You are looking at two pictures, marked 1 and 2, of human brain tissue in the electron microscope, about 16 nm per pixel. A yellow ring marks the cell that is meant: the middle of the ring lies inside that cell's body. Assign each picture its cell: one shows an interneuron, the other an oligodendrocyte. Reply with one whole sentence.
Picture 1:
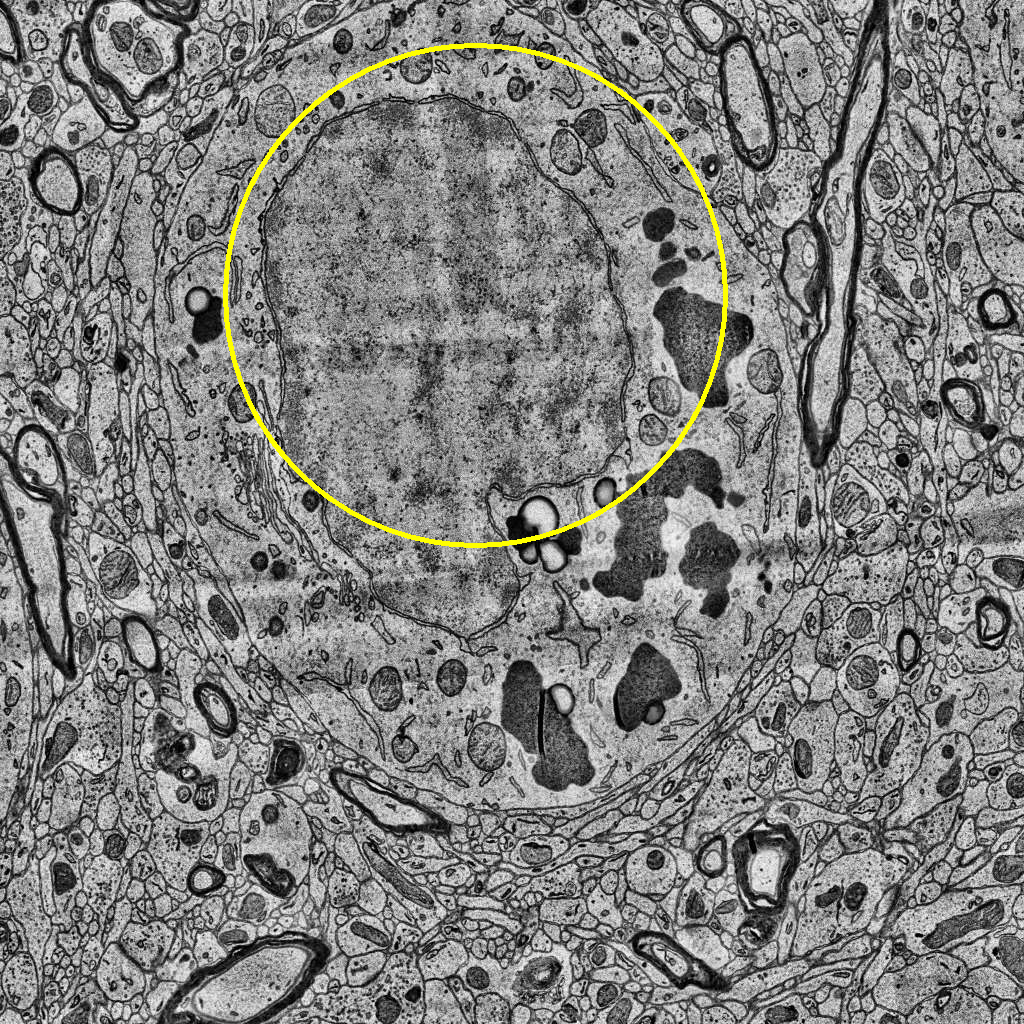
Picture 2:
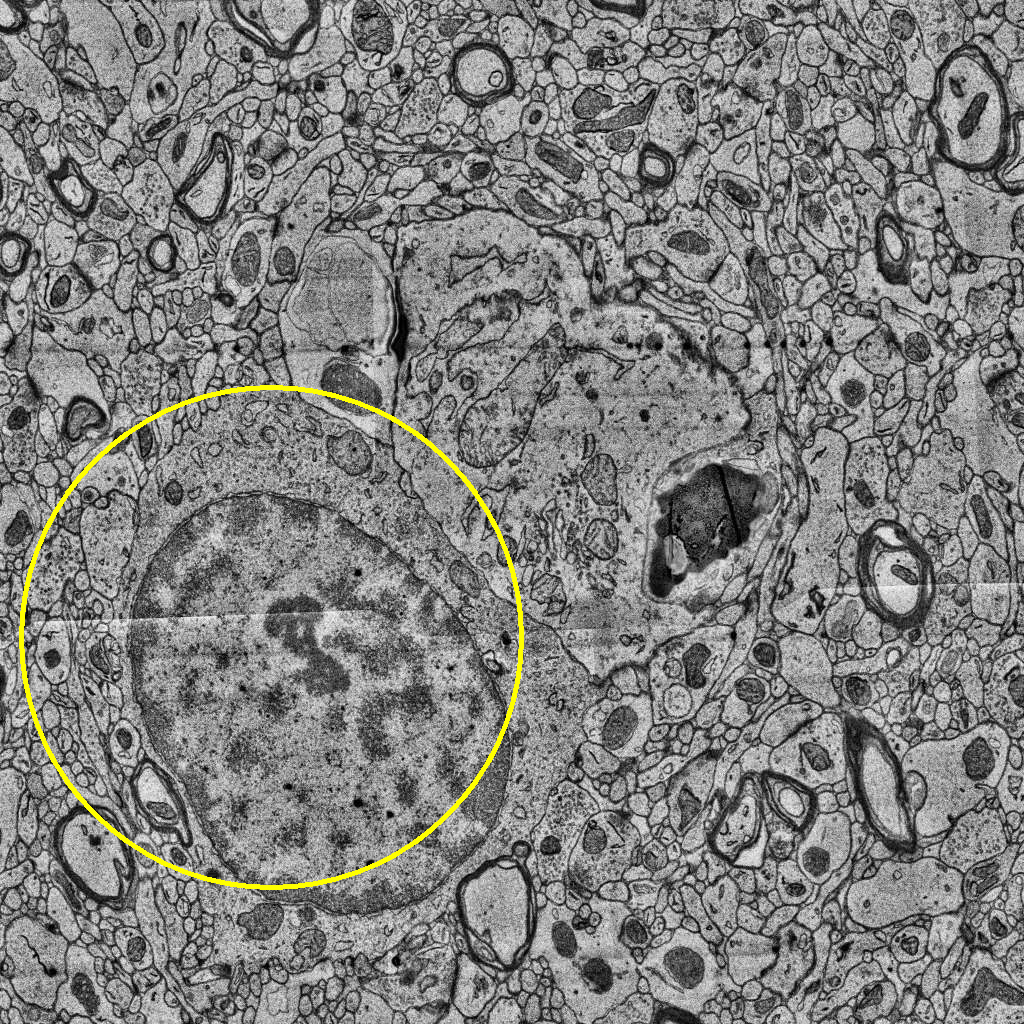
Picture 2 shows an oligodendrocyte, while picture 1 shows an interneuron.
